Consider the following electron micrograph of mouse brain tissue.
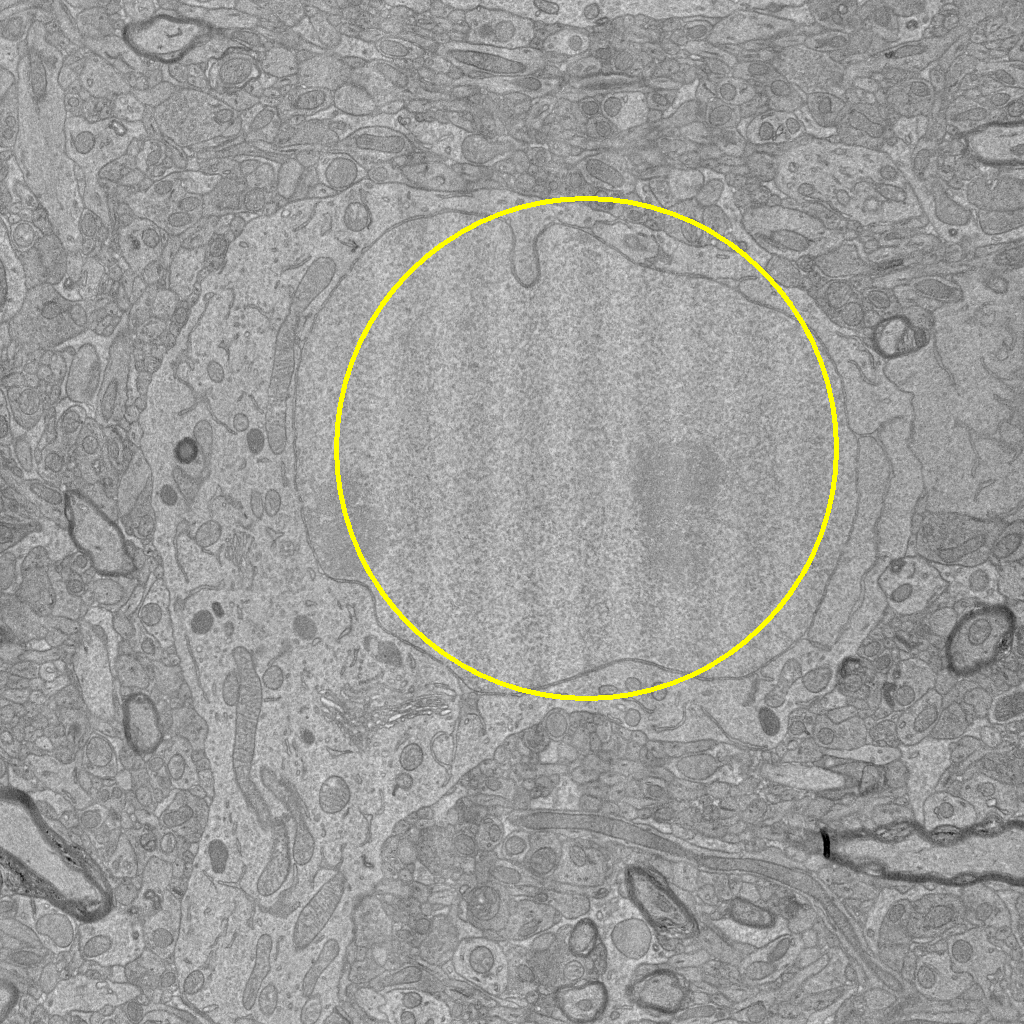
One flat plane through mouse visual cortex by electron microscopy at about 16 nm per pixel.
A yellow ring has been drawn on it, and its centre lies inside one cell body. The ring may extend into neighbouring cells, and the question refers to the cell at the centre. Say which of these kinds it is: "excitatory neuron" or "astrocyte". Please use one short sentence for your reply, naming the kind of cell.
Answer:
The centre of the ring falls on an excitatory neuron.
